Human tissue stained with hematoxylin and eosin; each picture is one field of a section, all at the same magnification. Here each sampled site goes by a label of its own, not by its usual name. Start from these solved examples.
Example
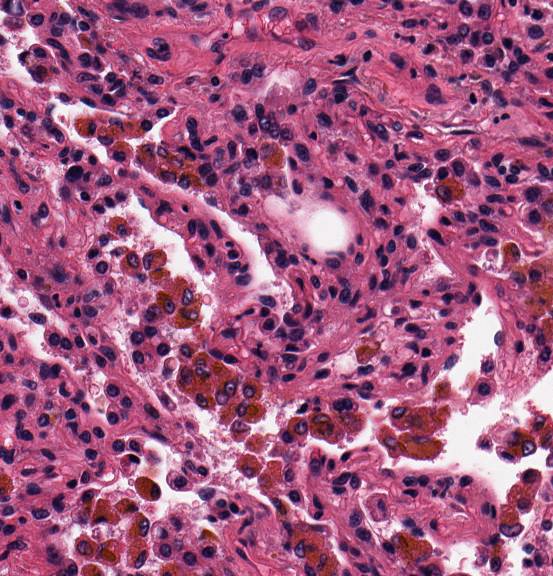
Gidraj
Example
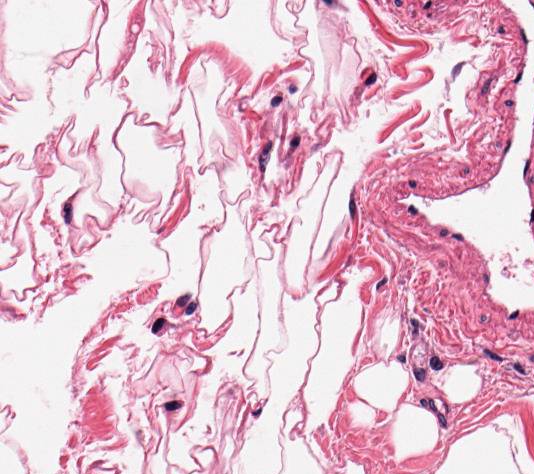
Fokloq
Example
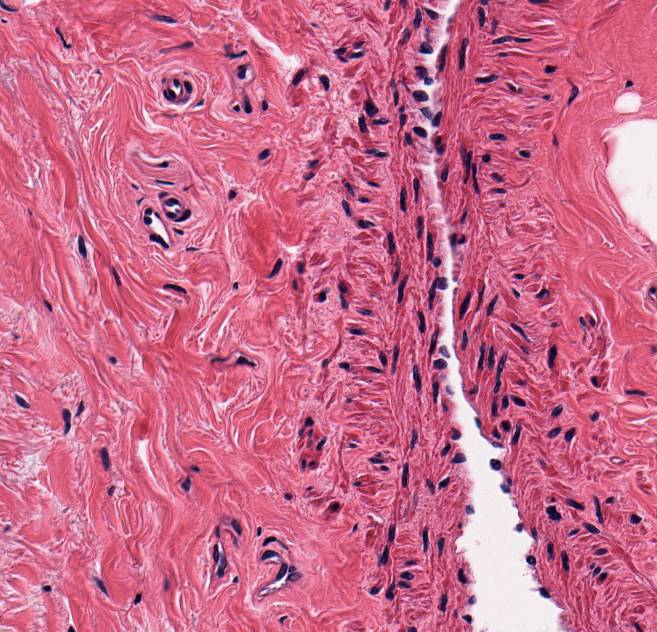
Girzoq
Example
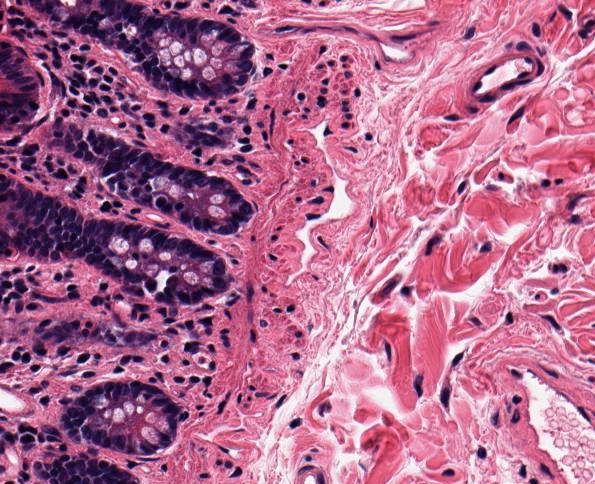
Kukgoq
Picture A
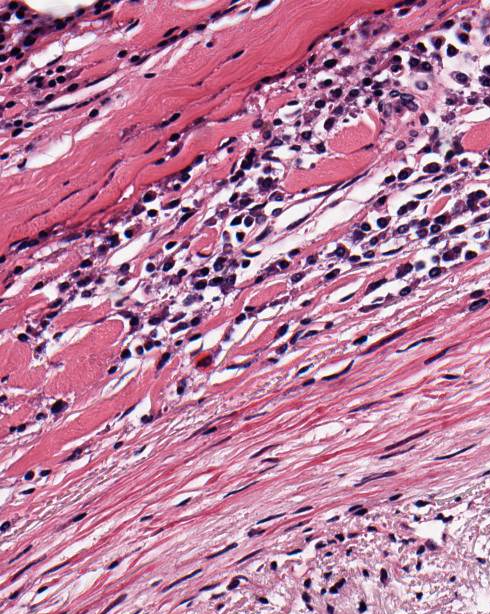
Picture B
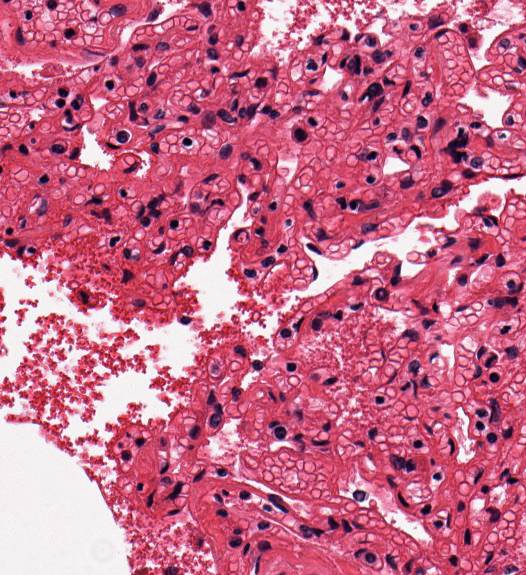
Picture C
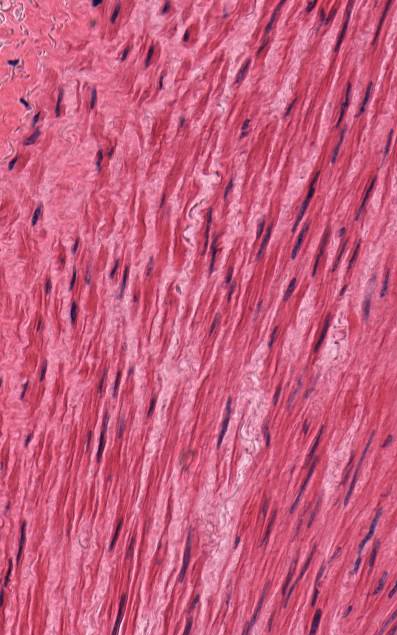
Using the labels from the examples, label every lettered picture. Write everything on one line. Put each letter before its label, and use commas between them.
A Fokloq, B Gidraj, C Girzoq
